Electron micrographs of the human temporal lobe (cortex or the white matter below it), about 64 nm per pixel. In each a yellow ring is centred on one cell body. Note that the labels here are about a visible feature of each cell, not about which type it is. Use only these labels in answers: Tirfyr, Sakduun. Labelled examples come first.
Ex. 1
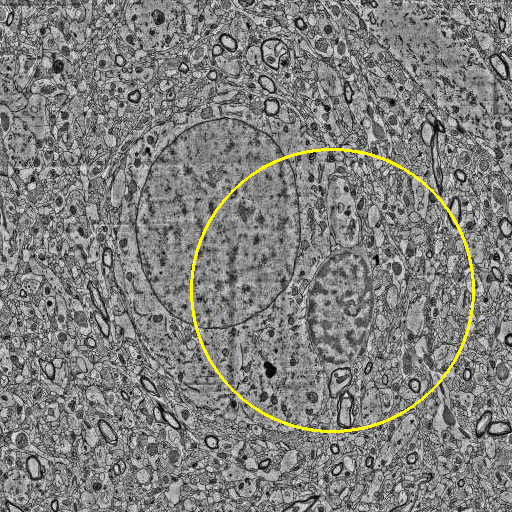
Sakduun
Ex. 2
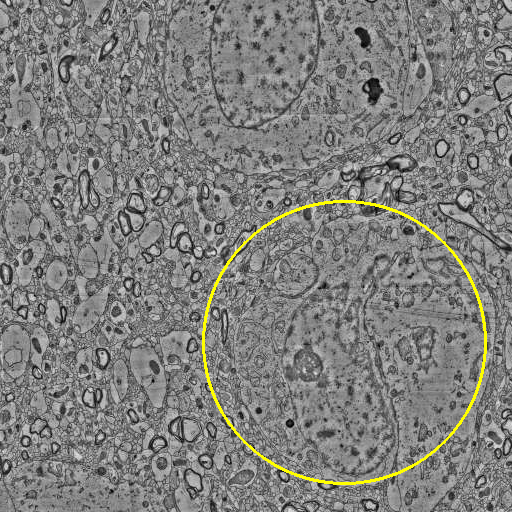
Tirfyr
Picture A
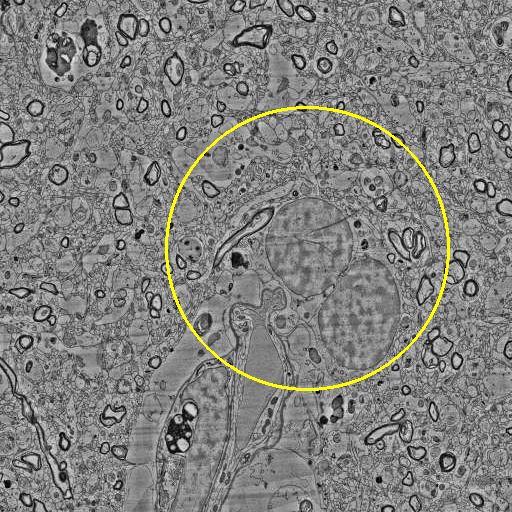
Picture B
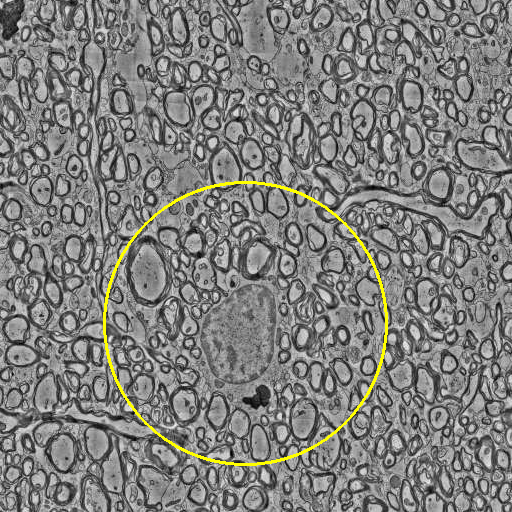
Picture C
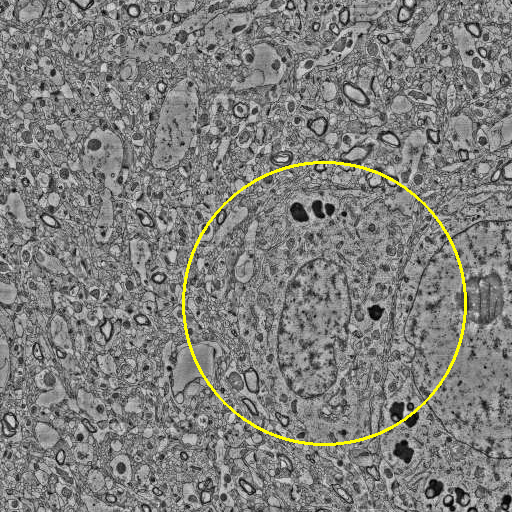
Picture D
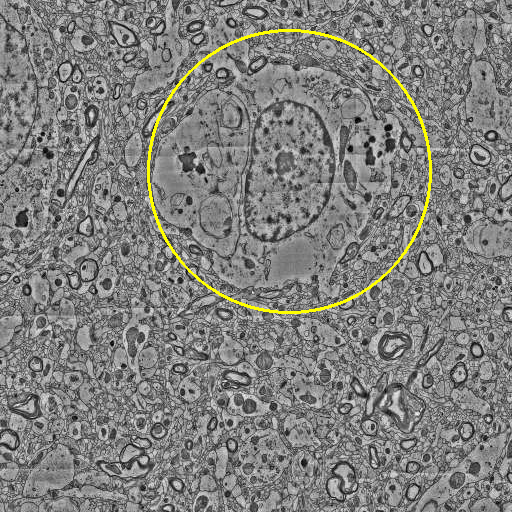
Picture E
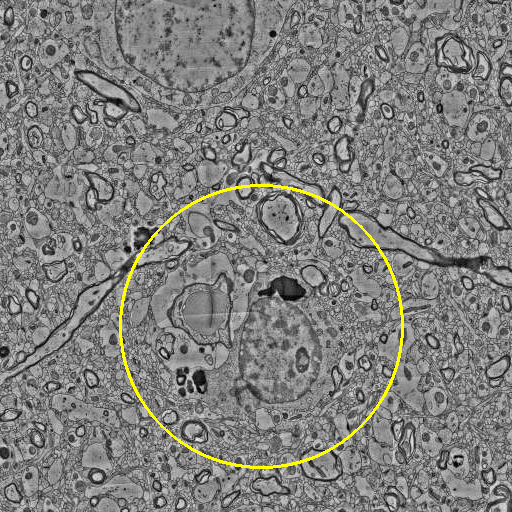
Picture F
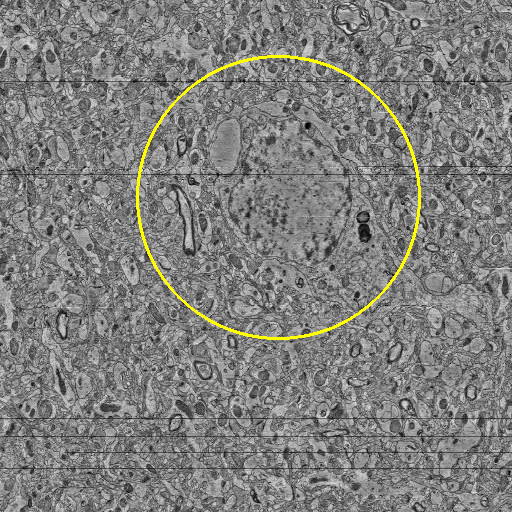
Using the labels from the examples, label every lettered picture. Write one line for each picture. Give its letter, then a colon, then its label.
A: Sakduun
B: Sakduun
C: Sakduun
D: Tirfyr
E: Tirfyr
F: Sakduun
